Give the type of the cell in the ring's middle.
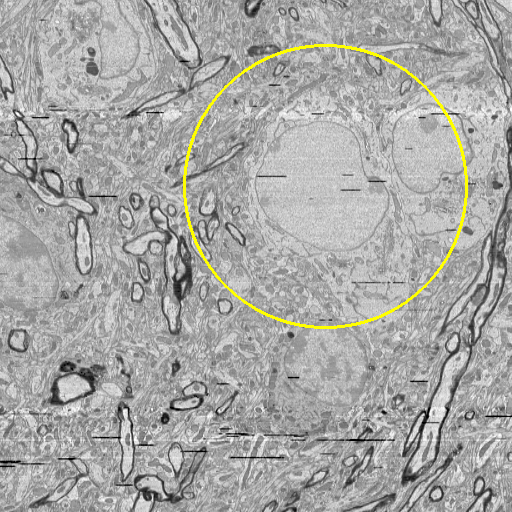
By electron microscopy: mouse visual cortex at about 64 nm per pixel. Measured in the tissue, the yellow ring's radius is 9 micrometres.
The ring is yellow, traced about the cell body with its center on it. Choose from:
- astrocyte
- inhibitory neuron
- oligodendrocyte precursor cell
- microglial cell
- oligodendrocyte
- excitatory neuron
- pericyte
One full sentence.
Here, an excitatory neuron is the cell lying at the center of the yellow ring.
